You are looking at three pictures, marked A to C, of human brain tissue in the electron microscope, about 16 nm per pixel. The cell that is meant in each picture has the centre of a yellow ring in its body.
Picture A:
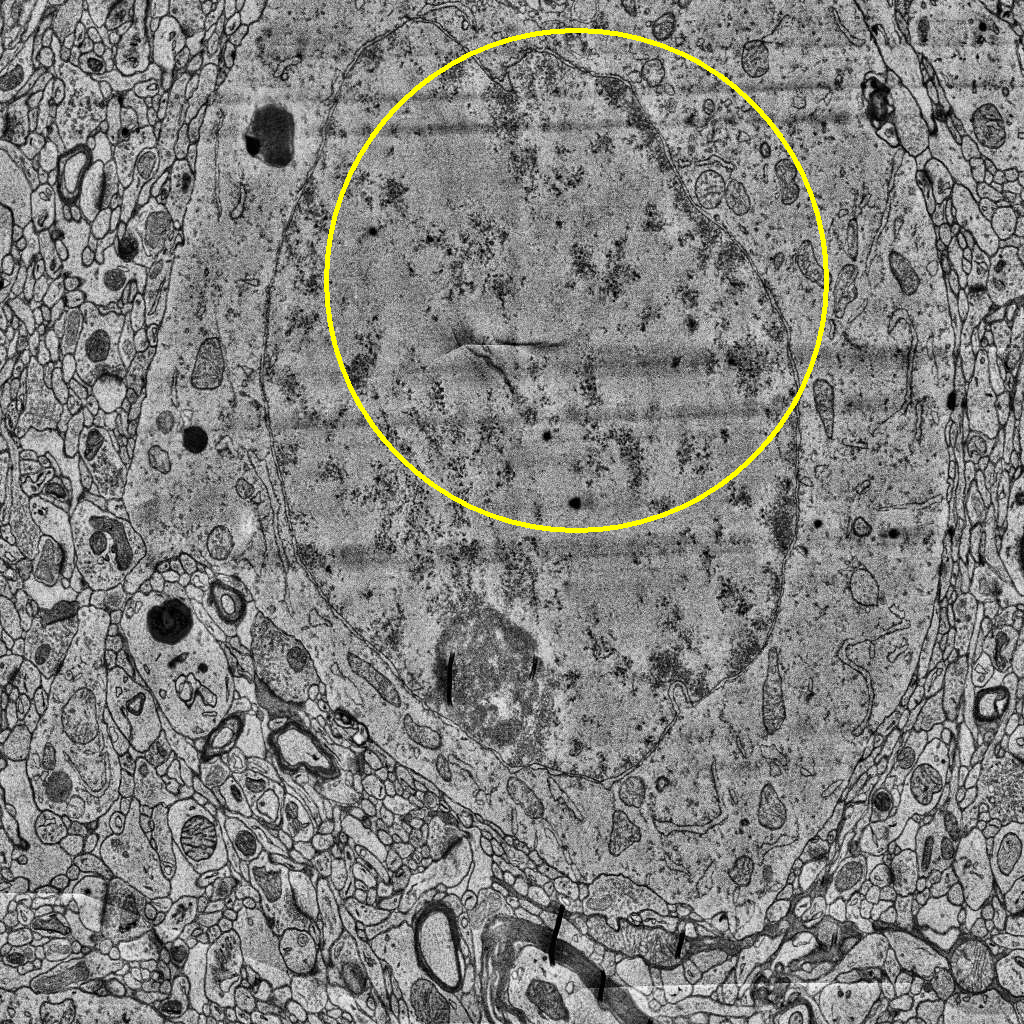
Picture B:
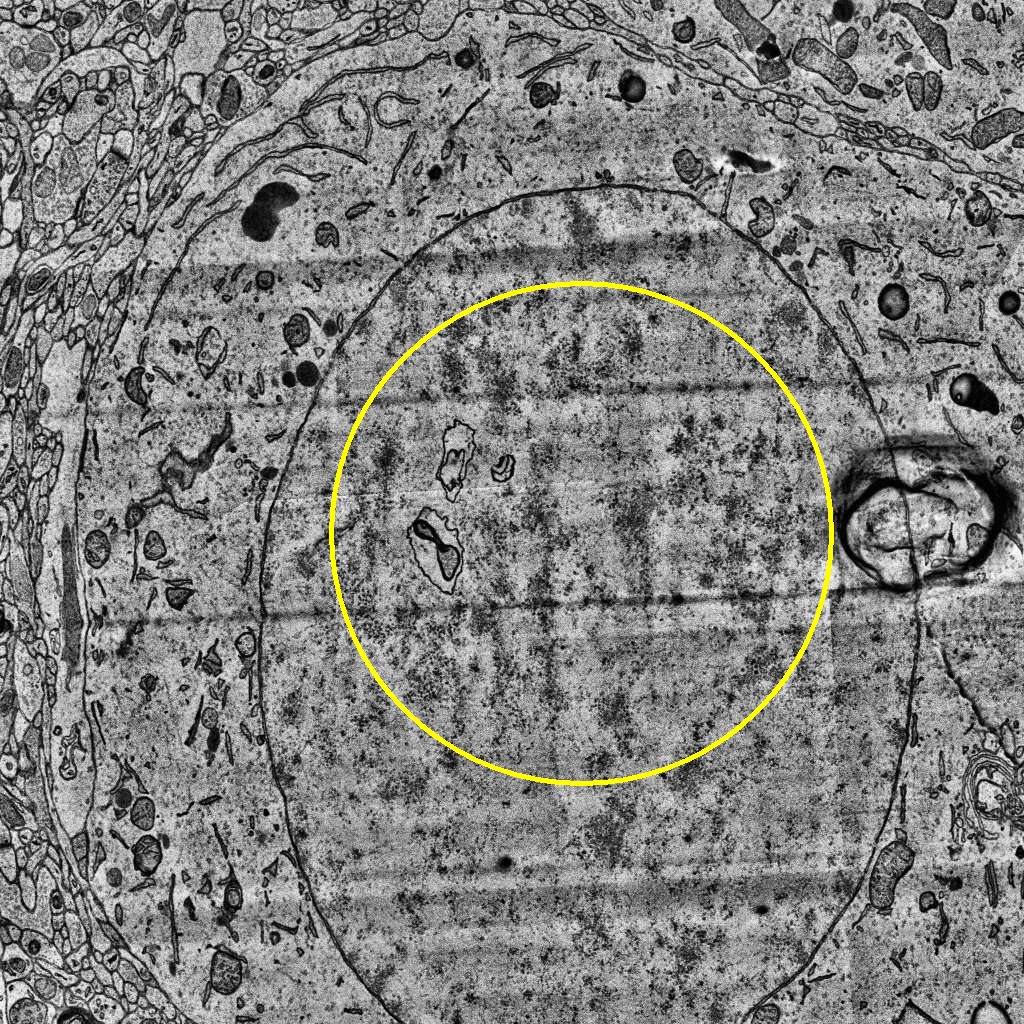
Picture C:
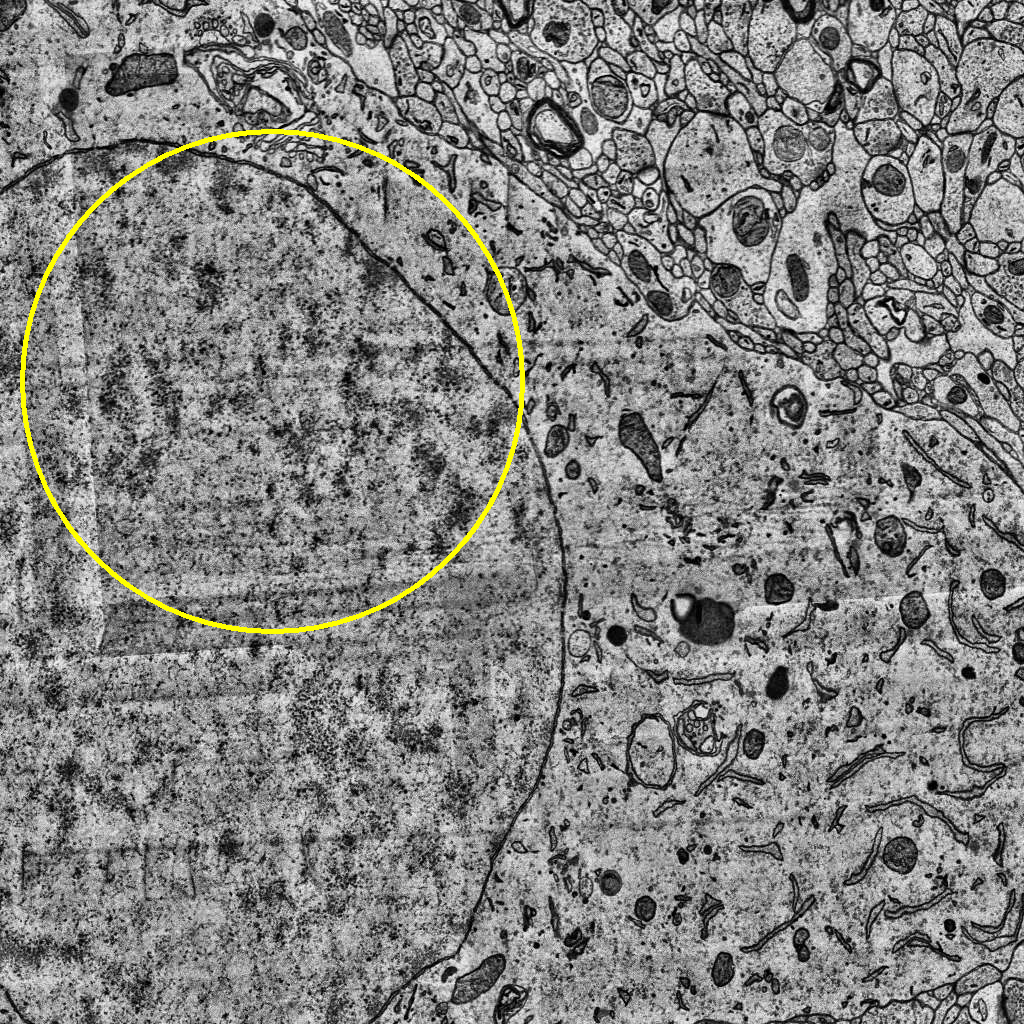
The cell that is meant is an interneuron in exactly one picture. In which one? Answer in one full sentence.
The cell in picture A is the interneuron.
